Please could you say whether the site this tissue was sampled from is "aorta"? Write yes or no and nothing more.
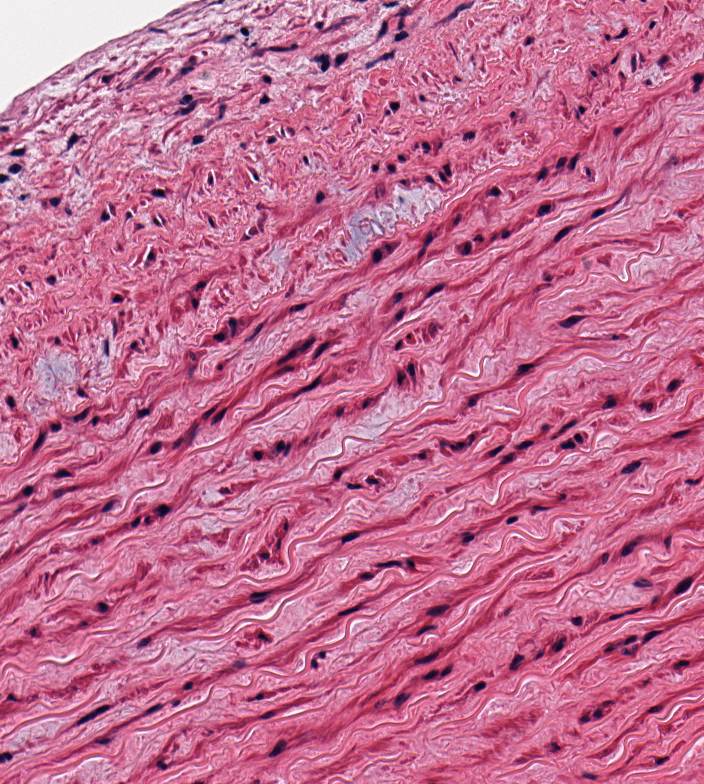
yes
